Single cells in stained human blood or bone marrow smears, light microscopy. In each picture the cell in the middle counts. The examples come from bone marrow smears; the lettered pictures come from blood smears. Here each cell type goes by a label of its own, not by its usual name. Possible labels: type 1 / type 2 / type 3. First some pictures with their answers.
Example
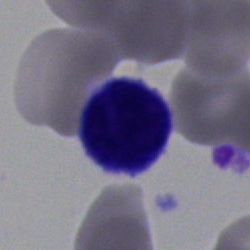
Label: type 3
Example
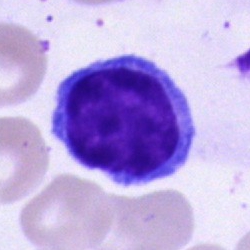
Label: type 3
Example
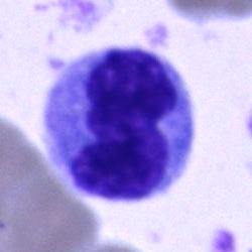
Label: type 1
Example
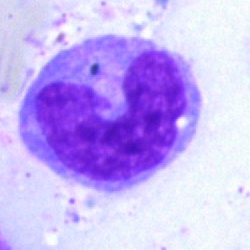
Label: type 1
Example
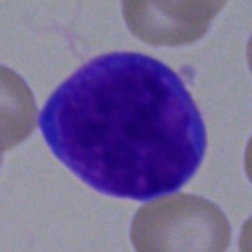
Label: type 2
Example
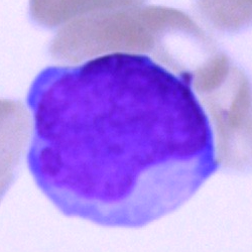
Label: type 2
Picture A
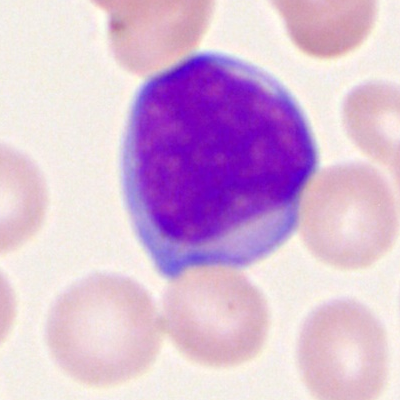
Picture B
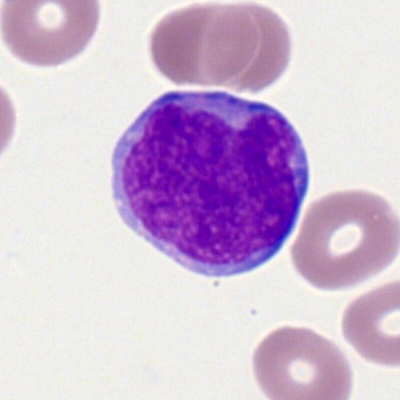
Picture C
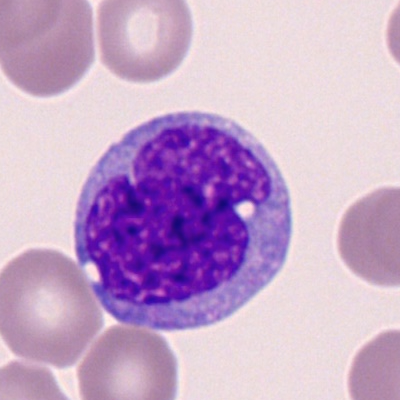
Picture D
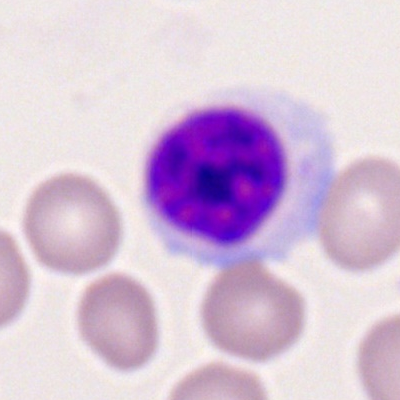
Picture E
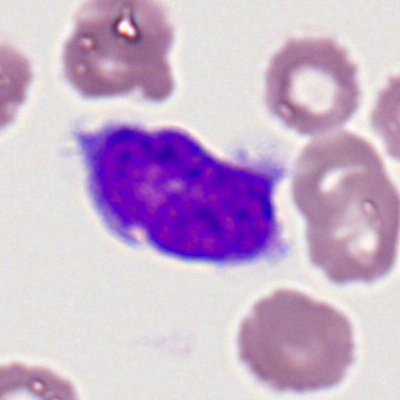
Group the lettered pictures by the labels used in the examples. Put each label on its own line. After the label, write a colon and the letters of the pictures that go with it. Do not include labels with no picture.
type 1: C, E
type 2: A, B
type 3: D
